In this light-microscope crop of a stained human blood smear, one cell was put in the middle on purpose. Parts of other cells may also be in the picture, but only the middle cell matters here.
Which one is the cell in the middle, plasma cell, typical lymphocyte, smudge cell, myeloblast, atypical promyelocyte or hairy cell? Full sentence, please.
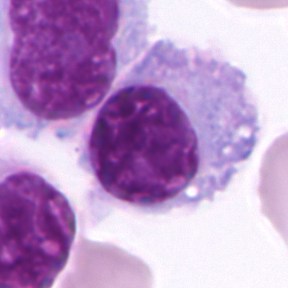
Located at the centre of the crop is a plasma cell.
